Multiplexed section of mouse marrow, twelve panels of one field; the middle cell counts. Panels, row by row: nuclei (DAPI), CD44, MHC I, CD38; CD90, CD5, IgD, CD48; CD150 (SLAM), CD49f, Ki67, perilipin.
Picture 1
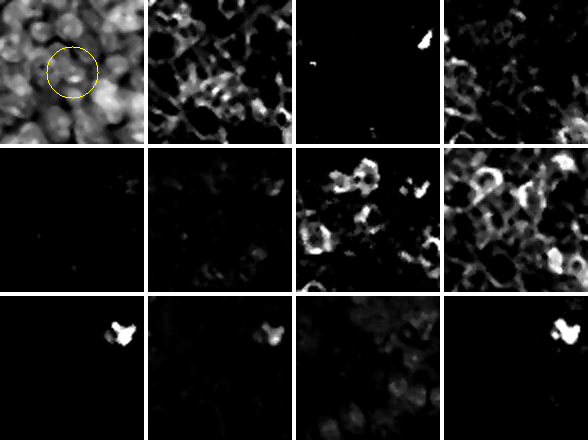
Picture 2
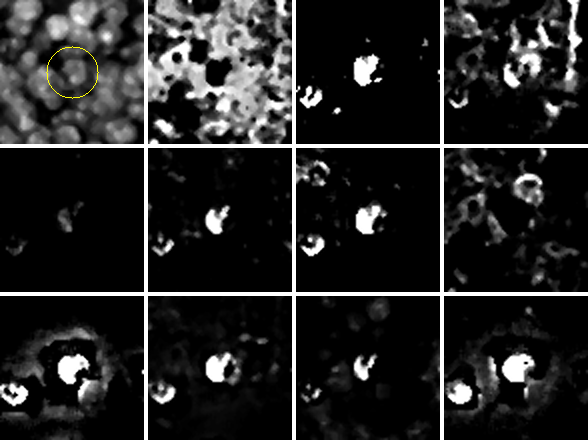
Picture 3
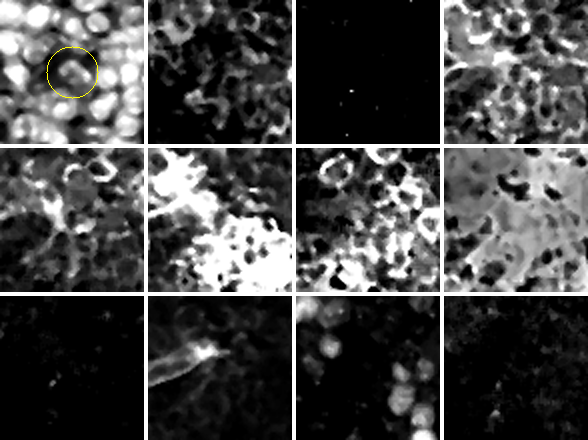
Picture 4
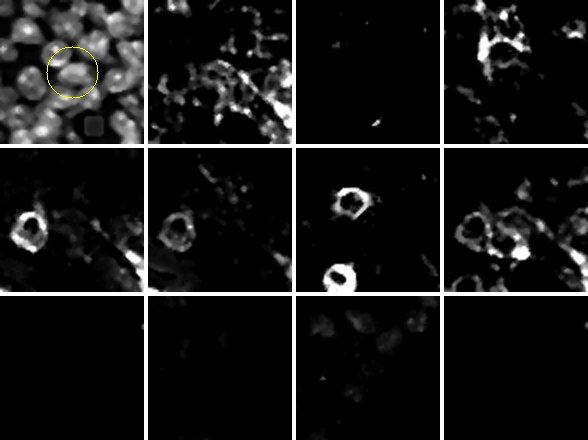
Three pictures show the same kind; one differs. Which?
Picture 3: a monocyte, while the others are B cells.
